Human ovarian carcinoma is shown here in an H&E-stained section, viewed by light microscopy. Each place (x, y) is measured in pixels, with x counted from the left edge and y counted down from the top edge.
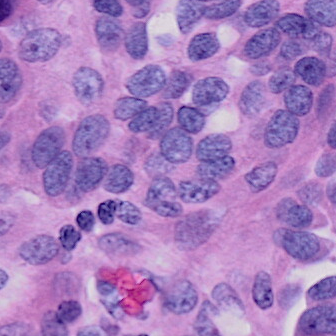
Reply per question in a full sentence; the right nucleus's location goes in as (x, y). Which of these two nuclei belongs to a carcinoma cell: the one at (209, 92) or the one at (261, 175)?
Of the two nuclei, that at (209, 92) is the nucleus of a carcinoma cell.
